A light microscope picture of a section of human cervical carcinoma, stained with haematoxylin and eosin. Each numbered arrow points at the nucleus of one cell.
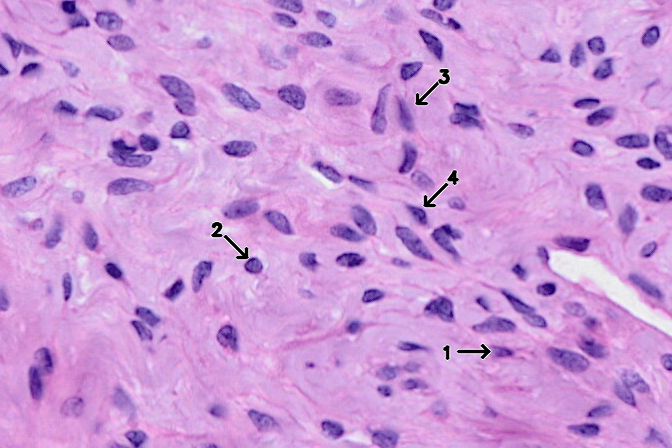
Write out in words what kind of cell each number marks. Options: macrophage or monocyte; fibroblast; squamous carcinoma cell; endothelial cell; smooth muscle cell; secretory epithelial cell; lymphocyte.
Cell 1 is a smooth muscle cell, cell 2 is a fibroblast, cell 3 is a fibroblast and cell 4 is a fibroblast.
